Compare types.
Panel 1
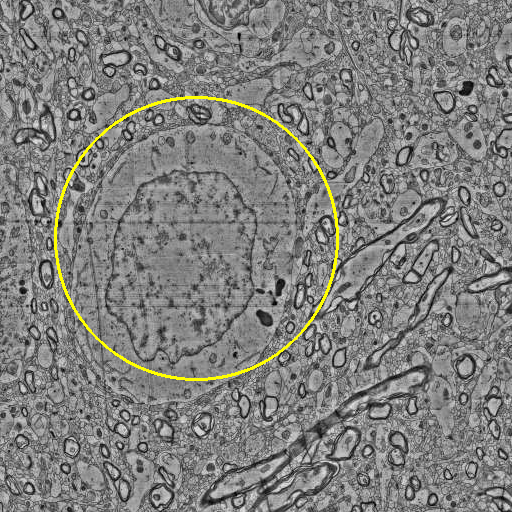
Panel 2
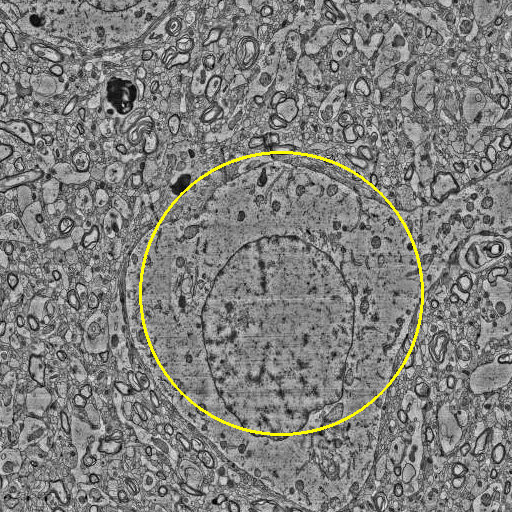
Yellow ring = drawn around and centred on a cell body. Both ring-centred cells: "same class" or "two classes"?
same class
